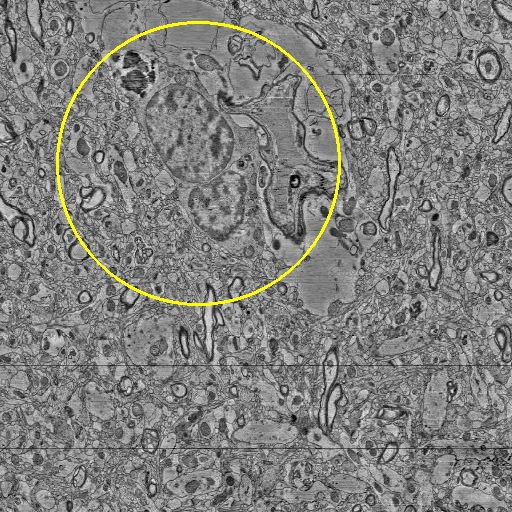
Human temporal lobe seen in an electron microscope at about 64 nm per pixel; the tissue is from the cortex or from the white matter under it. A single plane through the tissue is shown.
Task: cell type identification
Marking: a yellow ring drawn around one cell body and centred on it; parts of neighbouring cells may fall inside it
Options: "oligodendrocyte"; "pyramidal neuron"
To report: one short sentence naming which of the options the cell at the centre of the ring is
The cell at the centre of the ring is an oligodendrocyte.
